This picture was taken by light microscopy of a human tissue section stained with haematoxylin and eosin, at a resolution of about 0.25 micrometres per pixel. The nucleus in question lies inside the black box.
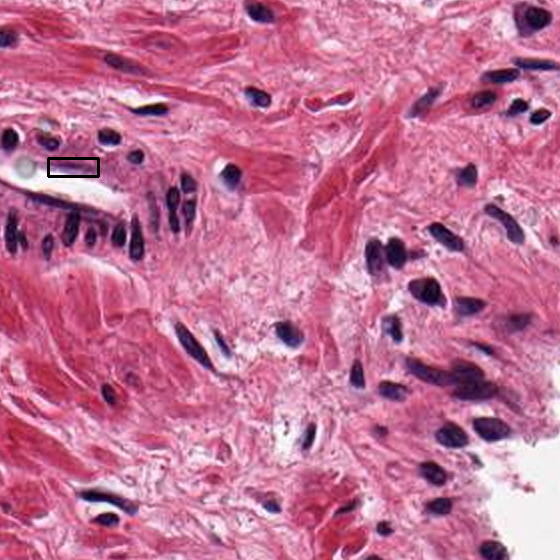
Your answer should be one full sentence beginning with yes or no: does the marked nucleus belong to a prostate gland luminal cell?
No, the cell that carries the marked nucleus is a supporting cell, not a prostate gland luminal cell.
